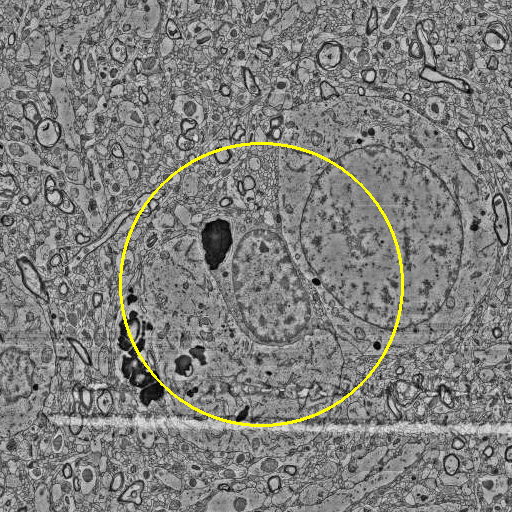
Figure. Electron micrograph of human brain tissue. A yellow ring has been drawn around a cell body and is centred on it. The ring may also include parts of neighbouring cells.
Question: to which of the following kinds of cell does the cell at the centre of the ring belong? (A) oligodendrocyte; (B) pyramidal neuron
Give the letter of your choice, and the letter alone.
A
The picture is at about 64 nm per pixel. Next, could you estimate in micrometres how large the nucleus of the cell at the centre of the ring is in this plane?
In this plane, the nucleus is roughly 7 by 5 micrometres.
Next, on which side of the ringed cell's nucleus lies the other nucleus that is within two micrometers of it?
The other one is to the upper right of it.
